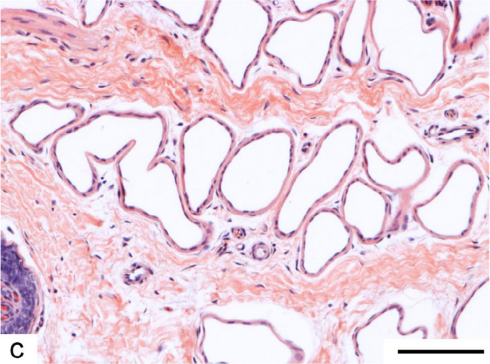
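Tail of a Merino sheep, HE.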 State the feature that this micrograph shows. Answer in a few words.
Tubular sweat gland cross‐sections.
